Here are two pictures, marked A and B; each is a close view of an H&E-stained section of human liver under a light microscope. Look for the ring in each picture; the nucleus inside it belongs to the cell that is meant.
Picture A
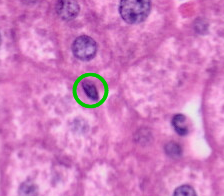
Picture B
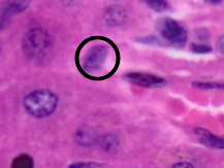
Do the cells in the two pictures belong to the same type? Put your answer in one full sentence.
Yes; the cells in both pictures are “fibroblasts or stellate cells”.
